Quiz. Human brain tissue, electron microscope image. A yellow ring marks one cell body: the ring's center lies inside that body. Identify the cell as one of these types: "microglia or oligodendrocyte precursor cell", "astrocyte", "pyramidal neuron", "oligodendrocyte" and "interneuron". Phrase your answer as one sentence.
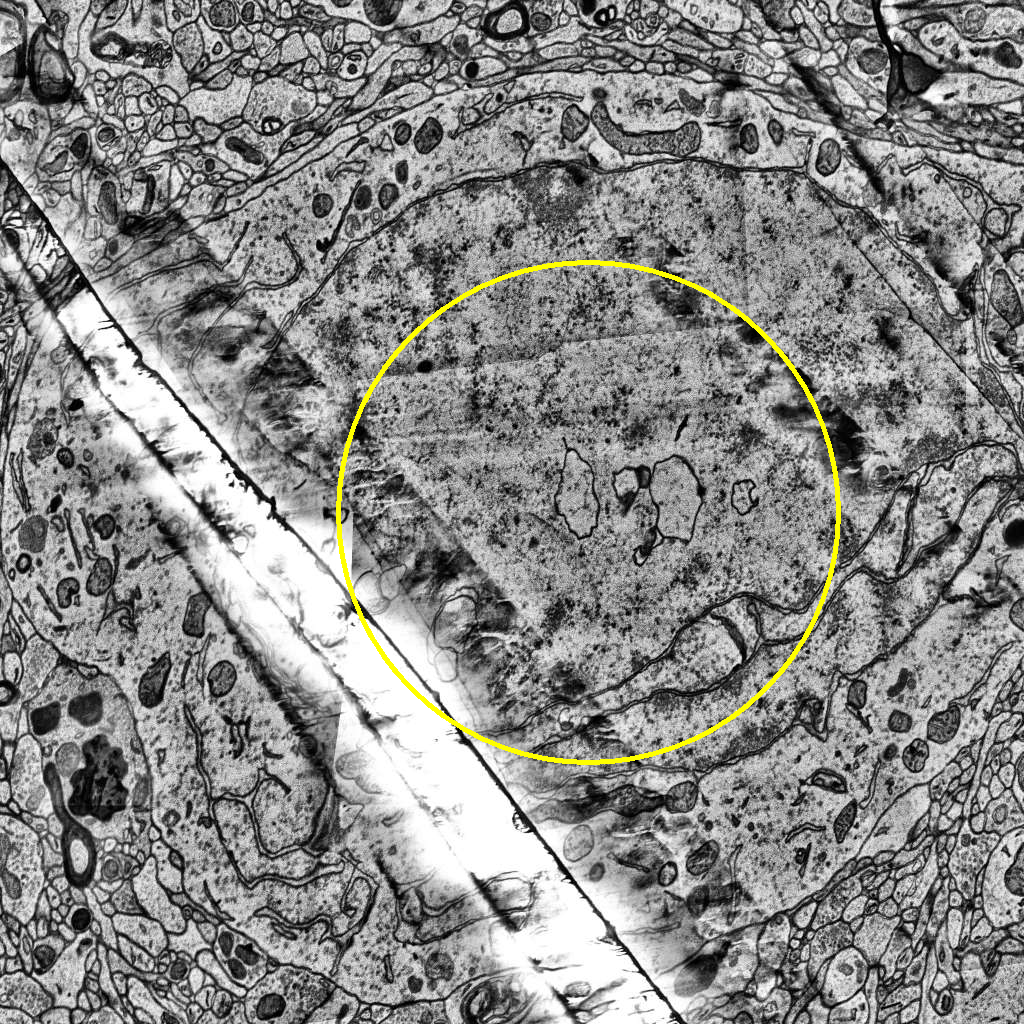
At the center of the ring sits an interneuron.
